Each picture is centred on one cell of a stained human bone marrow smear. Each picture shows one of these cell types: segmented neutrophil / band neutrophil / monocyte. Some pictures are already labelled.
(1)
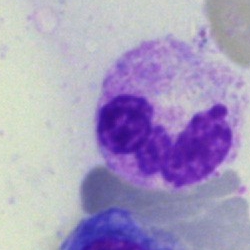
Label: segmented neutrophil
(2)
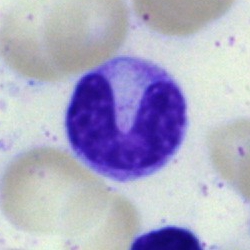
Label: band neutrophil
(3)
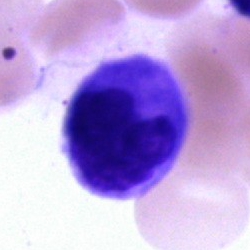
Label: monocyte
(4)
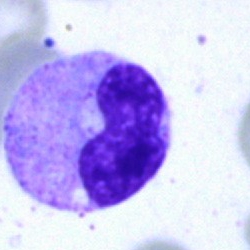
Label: band neutrophil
